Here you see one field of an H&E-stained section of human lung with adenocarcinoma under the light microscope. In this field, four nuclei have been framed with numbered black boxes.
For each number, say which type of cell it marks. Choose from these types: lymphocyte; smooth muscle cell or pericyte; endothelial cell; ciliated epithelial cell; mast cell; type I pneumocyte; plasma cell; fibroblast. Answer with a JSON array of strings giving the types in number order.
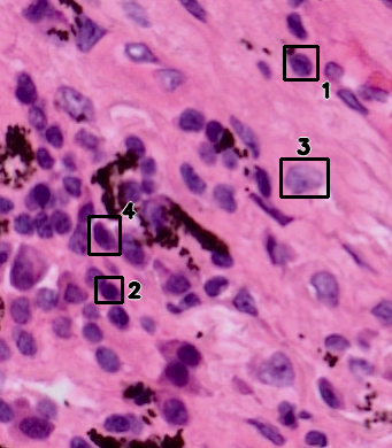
["lymphocyte", "lymphocyte", "fibroblast", "lymphocyte"]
